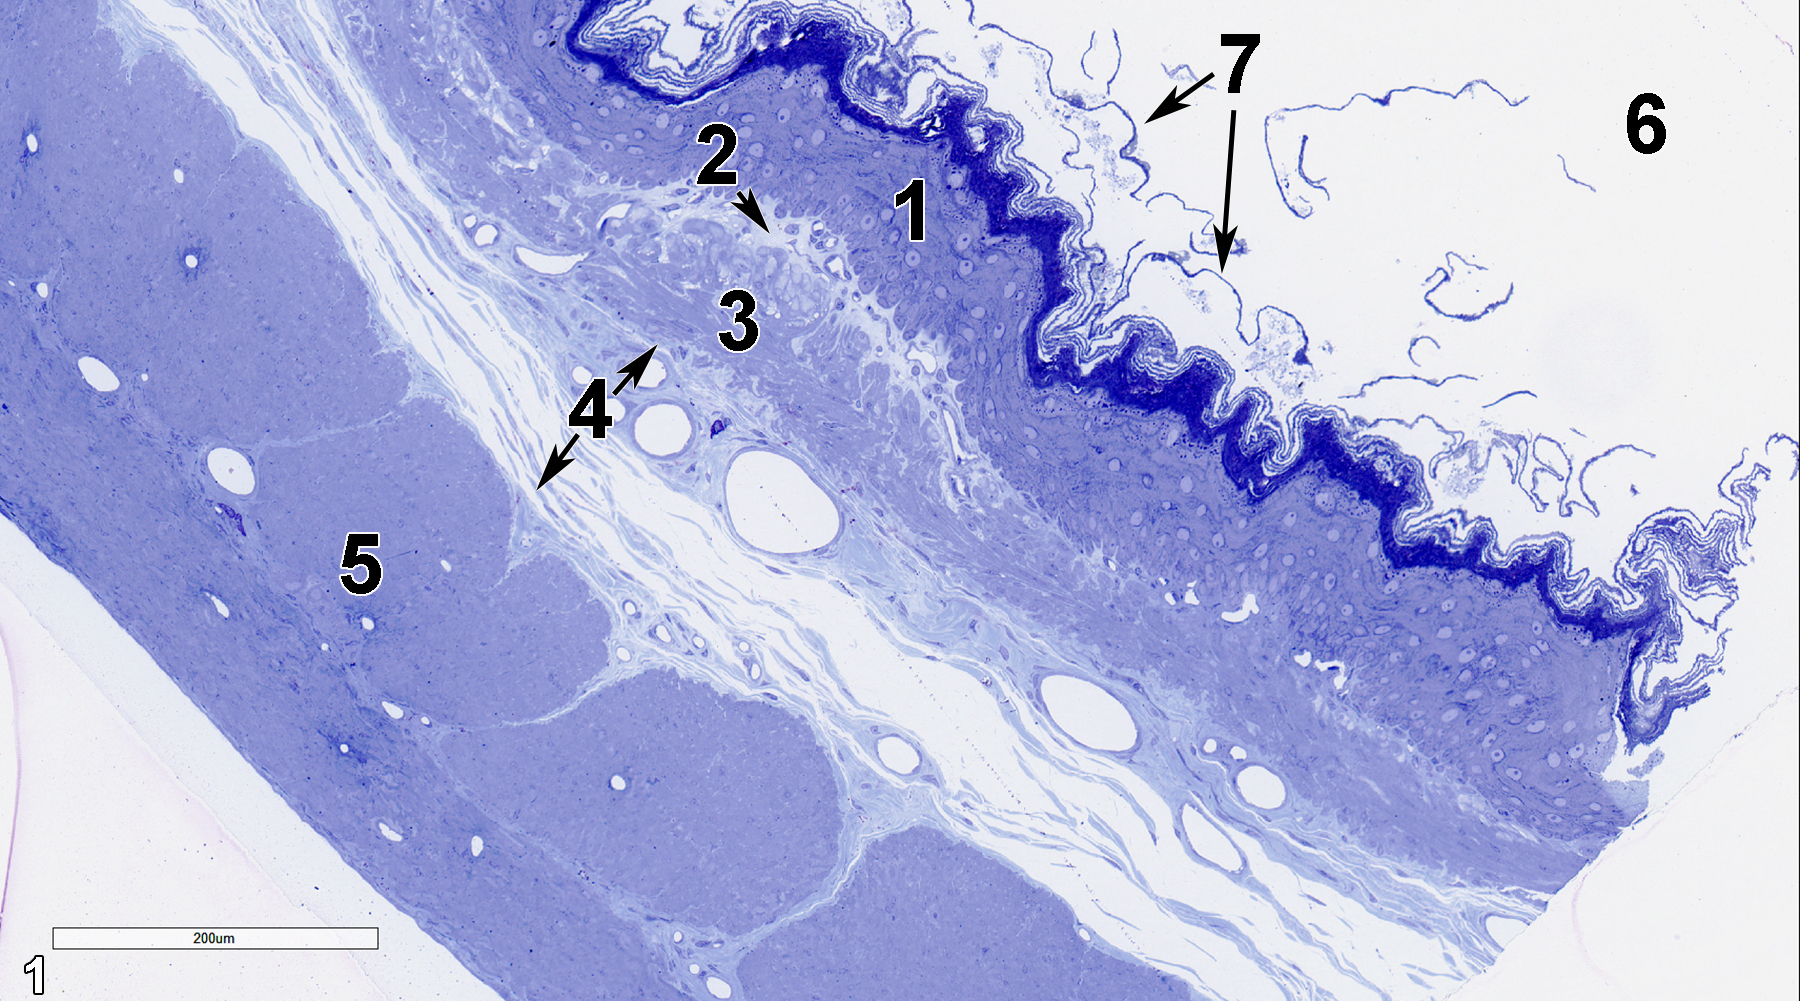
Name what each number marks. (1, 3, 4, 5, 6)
1 epithelial layer
3 muscularis mucosae
4 submucosa
5 tunica muscularis
6 lumen of the forestomach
